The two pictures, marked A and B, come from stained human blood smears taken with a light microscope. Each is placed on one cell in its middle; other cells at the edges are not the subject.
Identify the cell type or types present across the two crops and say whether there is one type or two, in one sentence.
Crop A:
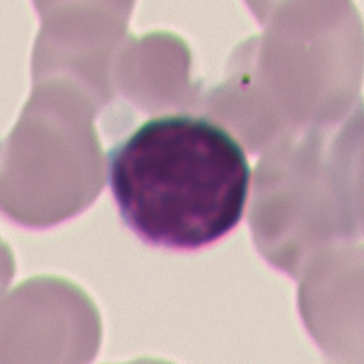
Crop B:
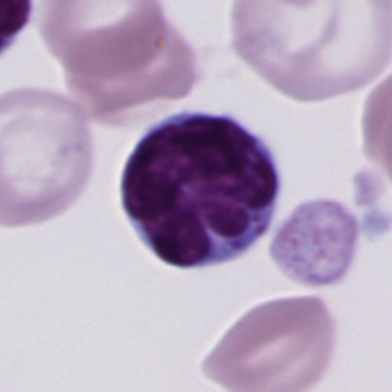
Yes, both crops show a cell each, and these are typical lymphocytes.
